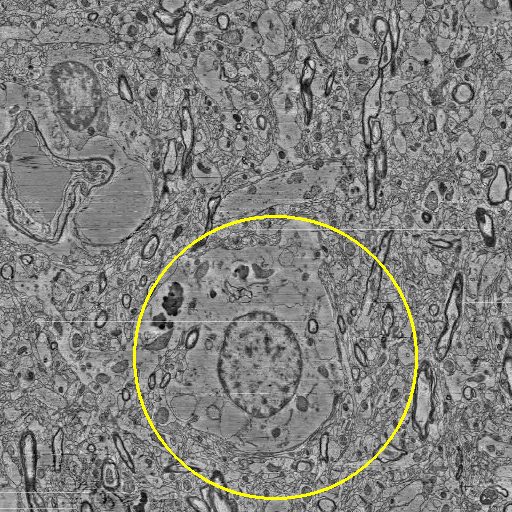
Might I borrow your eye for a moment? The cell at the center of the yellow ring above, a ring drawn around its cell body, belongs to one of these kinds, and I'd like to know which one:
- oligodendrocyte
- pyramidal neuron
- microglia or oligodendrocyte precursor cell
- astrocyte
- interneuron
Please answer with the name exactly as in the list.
astrocyte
